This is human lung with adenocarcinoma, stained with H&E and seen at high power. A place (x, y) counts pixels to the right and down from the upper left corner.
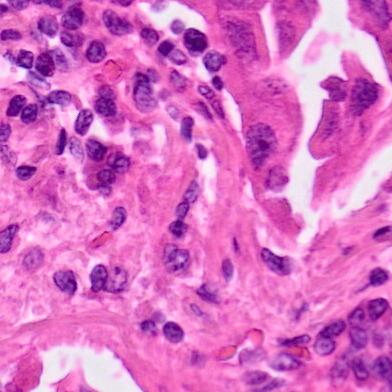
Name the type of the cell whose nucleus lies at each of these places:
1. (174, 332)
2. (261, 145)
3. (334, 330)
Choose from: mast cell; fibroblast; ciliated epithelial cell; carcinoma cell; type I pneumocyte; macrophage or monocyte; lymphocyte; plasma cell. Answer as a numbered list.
1. lymphocyte
2. carcinoma cell
3. plasma cell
